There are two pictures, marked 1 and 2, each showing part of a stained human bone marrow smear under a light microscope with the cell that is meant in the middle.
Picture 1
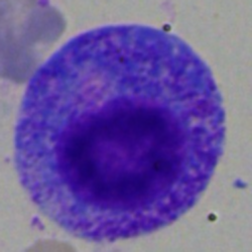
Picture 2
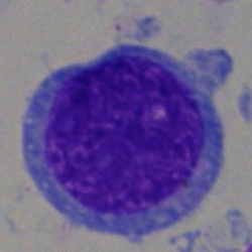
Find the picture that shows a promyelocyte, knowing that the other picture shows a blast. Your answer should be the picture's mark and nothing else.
1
